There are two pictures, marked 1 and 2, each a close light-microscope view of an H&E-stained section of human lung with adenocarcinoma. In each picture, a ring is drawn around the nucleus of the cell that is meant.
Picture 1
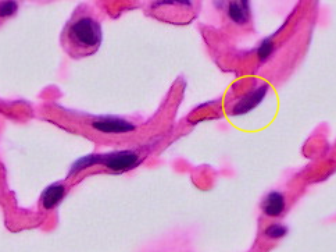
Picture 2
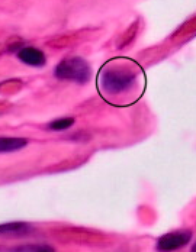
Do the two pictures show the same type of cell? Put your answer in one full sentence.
Yes; the cells in both pictures are type I pneumocytes.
